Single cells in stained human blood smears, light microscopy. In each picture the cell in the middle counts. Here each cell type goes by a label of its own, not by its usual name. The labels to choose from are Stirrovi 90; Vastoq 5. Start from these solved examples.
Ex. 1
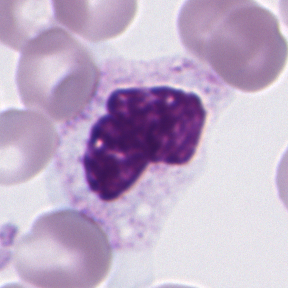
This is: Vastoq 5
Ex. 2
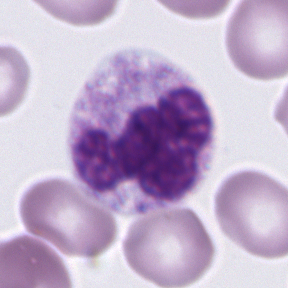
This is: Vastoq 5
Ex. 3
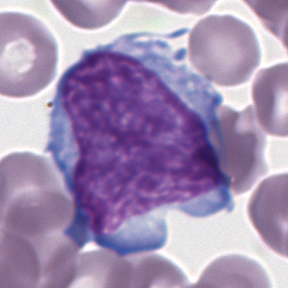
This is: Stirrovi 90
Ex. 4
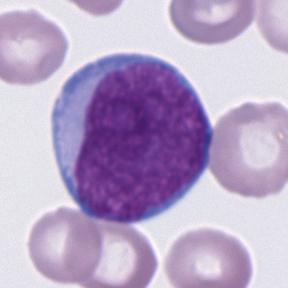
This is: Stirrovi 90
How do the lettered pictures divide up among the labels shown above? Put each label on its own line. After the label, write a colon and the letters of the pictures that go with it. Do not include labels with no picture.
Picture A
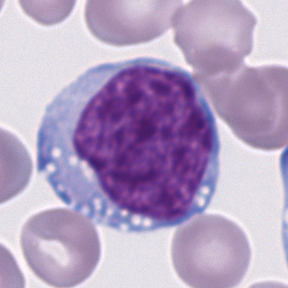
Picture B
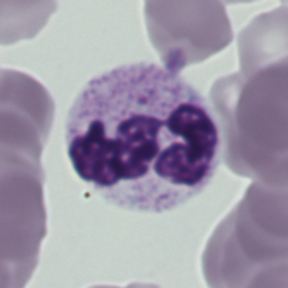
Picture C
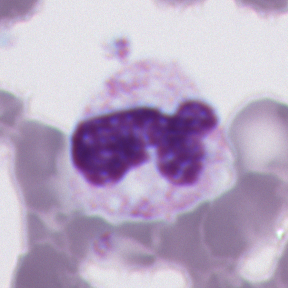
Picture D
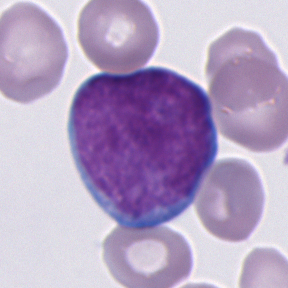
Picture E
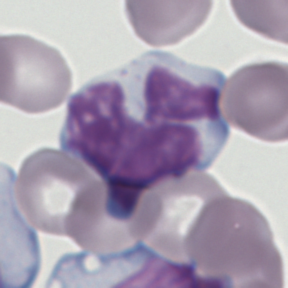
Stirrovi 90: A, D, E
Vastoq 5: B, C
